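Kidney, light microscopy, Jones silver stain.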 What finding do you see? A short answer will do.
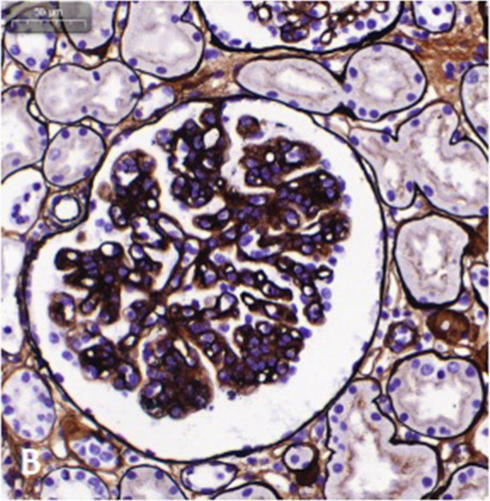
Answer: The capillaries are narrow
